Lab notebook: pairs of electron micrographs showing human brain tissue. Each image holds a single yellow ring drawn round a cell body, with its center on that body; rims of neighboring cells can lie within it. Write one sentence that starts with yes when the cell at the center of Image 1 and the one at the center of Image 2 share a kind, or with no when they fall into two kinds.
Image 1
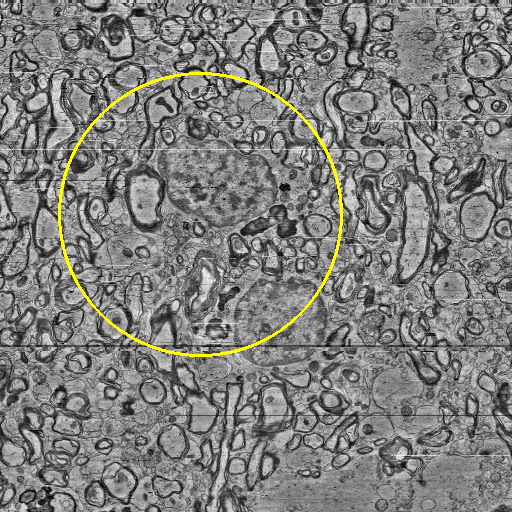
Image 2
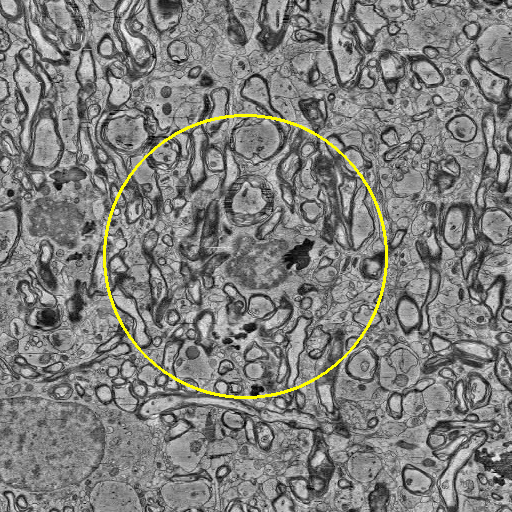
Yes, the centered cell in Image 1 and the centered cell in Image 2 are of one kind.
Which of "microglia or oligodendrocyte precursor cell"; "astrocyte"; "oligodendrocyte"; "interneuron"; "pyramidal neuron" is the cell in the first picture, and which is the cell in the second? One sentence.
In each of the two pictures, the ringed cell is an oligodendrocyte.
